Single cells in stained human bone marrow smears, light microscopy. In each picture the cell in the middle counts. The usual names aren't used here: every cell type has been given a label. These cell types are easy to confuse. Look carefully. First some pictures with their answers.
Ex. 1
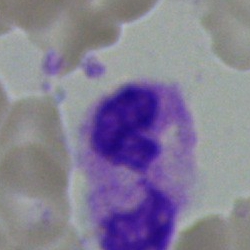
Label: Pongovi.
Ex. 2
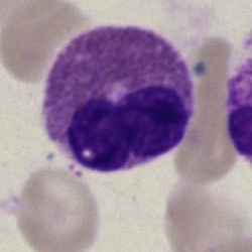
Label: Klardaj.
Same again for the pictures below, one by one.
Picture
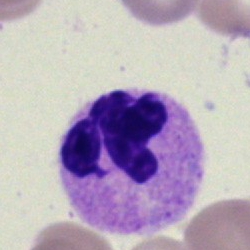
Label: Pongovi.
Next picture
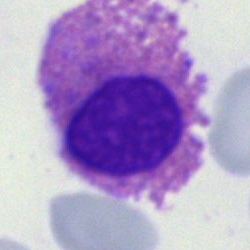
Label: Klardaj.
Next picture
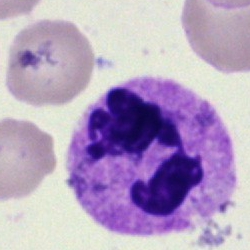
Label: Pongovi.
